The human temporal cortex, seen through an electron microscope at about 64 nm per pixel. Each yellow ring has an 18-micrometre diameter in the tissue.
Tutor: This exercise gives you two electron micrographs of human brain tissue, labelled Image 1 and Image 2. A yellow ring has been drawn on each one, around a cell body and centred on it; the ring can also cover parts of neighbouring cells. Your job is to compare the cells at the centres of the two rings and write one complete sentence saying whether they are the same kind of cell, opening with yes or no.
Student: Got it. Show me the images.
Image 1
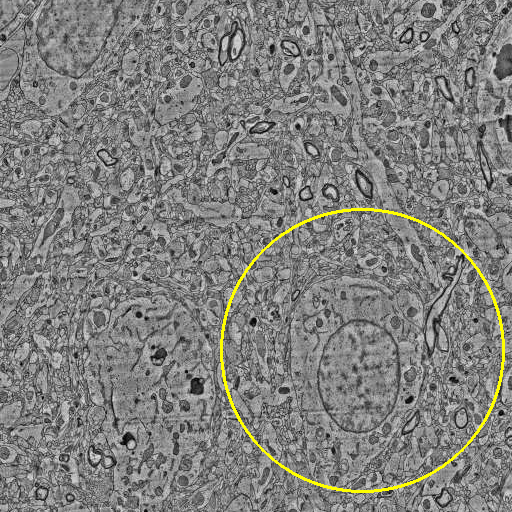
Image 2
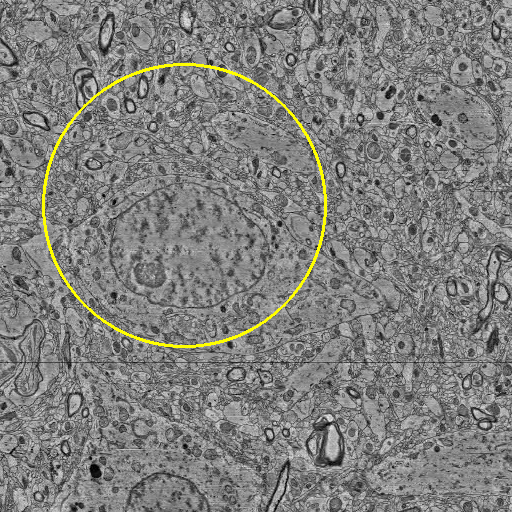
Yes, the two cells belong to the same kind.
